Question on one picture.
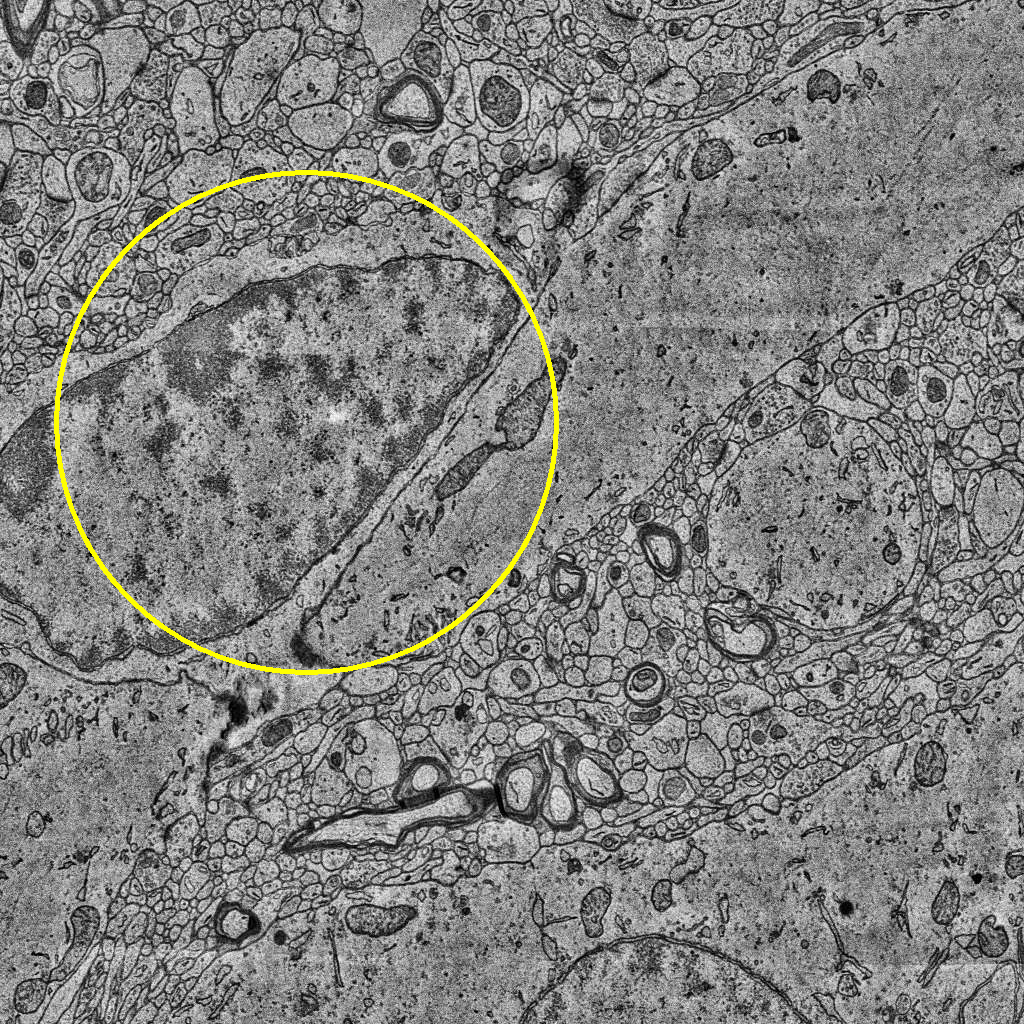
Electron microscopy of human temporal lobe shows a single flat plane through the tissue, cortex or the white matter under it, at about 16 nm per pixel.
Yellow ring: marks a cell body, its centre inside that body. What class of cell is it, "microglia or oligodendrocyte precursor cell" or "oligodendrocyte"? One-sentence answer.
This is a microglial cell or oligodendrocyte precursor cell, the cell at the ring's centre.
